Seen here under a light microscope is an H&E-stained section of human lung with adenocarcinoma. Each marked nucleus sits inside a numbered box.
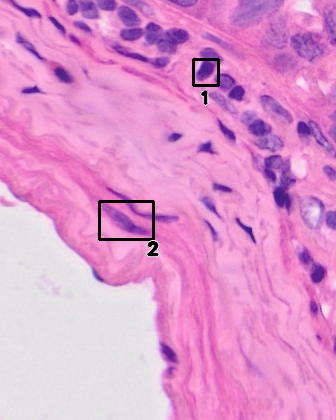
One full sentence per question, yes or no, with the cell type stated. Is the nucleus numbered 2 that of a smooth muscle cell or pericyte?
Yes, the cell identified by number 2 is a smooth muscle cell or pericyte.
